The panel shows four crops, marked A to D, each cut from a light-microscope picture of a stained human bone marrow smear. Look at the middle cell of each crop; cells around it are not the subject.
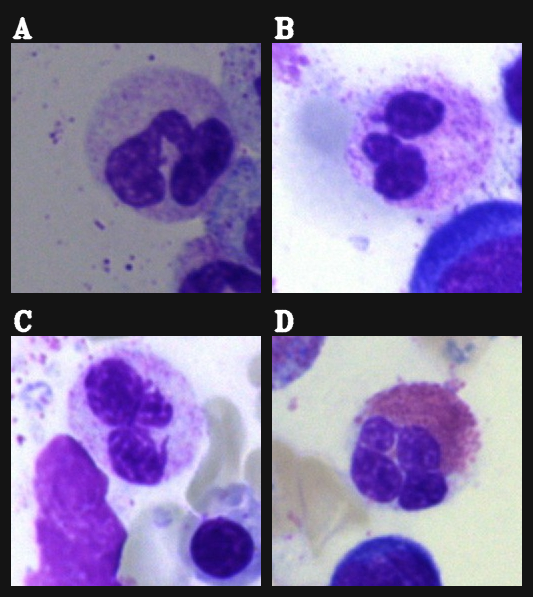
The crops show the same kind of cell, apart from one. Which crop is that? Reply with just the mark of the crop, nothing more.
D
